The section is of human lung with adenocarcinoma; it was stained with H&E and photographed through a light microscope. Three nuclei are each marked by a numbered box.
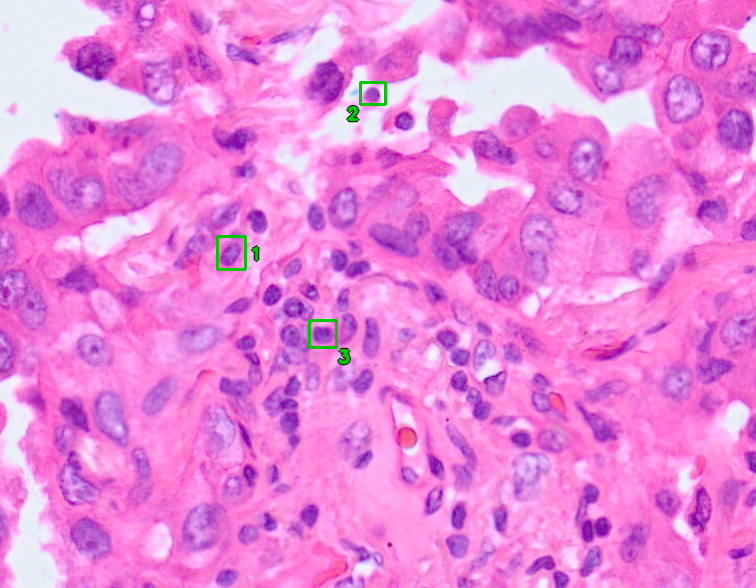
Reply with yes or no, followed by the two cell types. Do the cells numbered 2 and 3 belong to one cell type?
Yes, both are lymphocytes.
